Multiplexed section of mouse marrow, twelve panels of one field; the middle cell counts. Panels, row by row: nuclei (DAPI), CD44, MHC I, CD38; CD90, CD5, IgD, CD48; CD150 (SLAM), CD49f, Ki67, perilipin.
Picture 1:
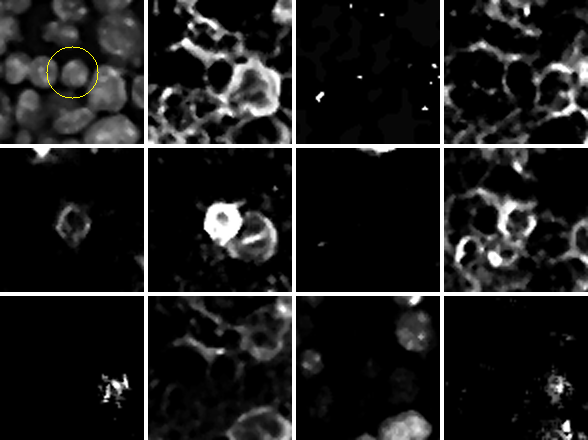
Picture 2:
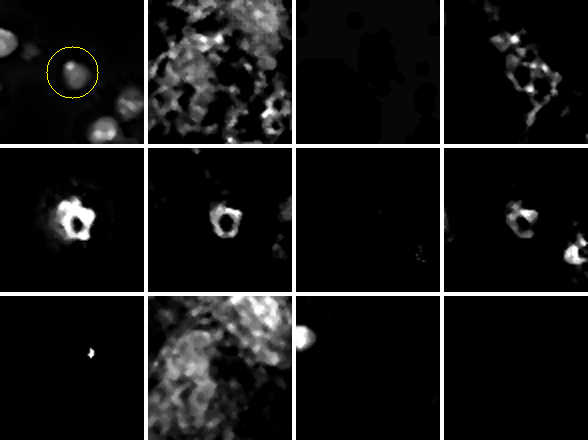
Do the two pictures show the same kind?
Yes, both are T cells.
